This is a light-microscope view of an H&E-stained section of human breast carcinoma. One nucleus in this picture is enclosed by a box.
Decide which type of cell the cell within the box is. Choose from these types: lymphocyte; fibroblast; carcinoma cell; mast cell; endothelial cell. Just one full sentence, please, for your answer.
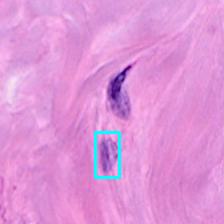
It is as a fibroblast that the cell within the box is recorded.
